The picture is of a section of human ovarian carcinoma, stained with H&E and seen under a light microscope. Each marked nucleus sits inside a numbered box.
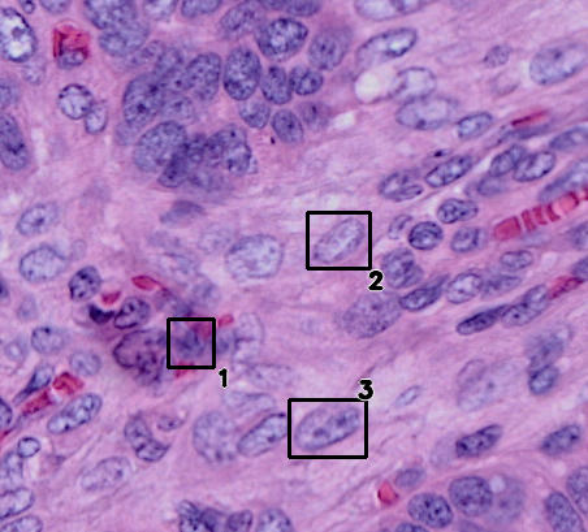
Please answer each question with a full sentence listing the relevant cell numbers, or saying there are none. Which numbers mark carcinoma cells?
The numbered cells are entirely free of carcinoma cells.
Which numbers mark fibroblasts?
By cell type, the cells numbered 2 and 3 are fibroblasts.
